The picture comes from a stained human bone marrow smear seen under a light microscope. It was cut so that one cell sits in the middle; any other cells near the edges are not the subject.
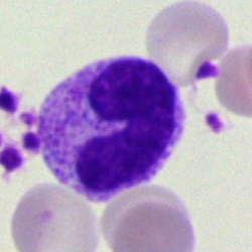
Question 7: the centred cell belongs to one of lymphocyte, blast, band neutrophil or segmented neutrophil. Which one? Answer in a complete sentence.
The centrally positioned cell in the crop represents a band neutrophil.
